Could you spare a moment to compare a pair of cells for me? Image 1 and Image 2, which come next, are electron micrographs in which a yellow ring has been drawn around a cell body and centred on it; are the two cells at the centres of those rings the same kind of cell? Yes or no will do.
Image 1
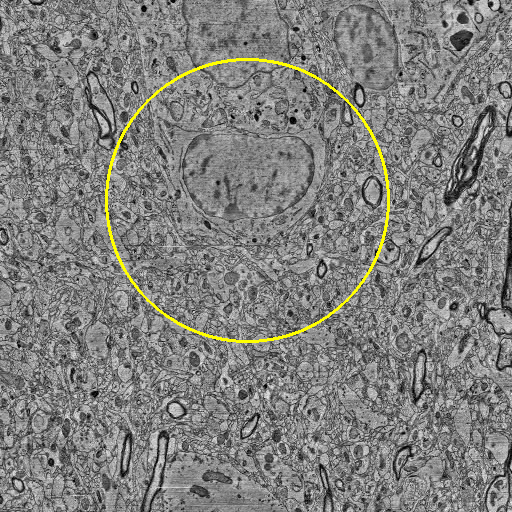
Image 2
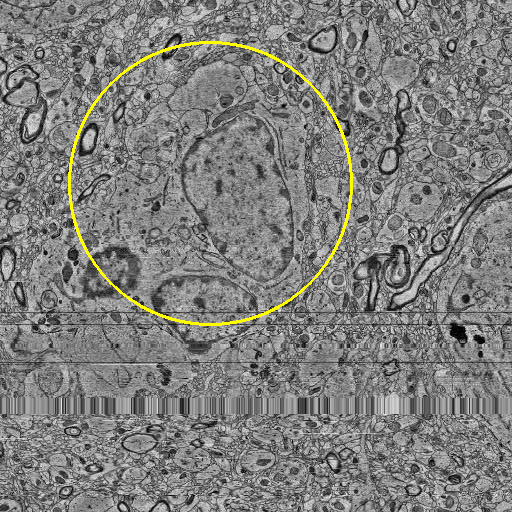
yes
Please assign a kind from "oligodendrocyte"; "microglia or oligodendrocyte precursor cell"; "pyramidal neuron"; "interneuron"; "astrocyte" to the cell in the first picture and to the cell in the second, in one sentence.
Each of the two cells is a microglial cell or oligodendrocyte precursor cell.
